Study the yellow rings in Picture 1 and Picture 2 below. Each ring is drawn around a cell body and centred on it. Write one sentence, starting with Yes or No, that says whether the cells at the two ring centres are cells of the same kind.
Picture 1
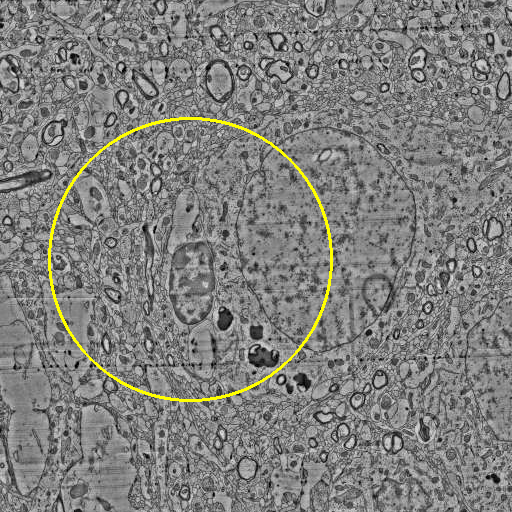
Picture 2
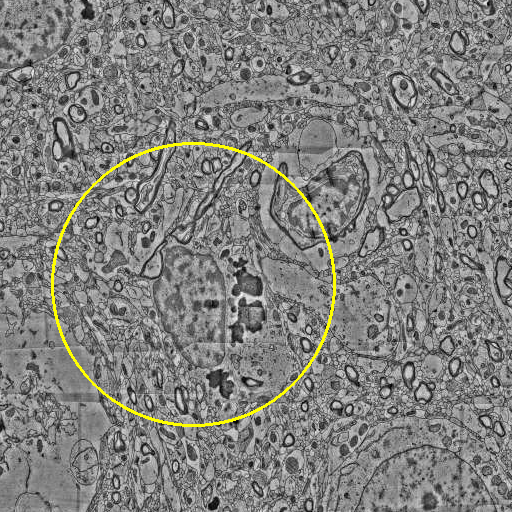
No, the cells at the ring centres are of two kinds.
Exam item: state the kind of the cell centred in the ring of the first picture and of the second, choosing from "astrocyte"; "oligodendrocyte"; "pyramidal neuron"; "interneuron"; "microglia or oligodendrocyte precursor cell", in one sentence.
The first picture shows a microglial cell or oligodendrocyte precursor cell at the ring centre and the second shows an oligodendrocyte.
